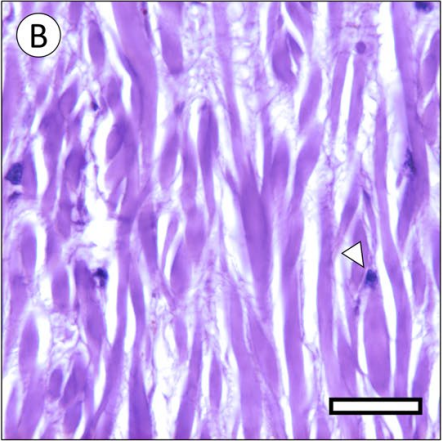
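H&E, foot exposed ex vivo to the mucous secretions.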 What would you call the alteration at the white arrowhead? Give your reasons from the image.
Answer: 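Abnormal aspect of nuclei. The arrowhead points to a small dark, condensed nucleus between pink fibres.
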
